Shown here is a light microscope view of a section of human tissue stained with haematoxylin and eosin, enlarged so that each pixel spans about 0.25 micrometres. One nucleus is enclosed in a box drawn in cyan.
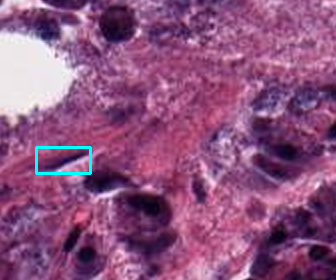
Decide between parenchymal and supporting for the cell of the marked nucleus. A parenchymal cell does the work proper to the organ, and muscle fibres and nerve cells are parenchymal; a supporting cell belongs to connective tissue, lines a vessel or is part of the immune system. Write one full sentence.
A supporting cell is the cell in which the marked nucleus is found.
